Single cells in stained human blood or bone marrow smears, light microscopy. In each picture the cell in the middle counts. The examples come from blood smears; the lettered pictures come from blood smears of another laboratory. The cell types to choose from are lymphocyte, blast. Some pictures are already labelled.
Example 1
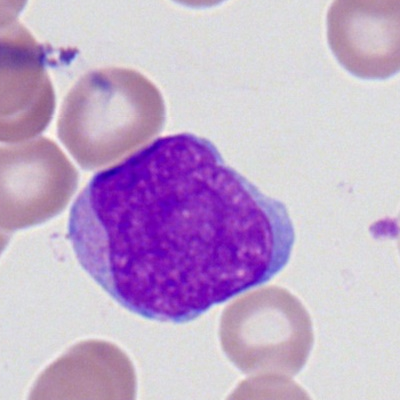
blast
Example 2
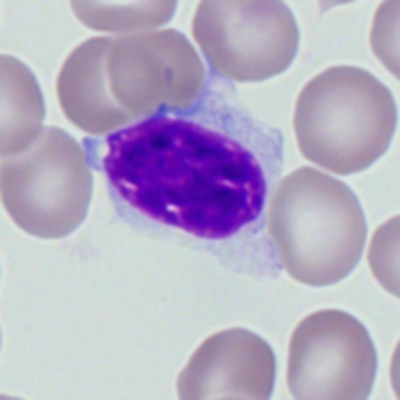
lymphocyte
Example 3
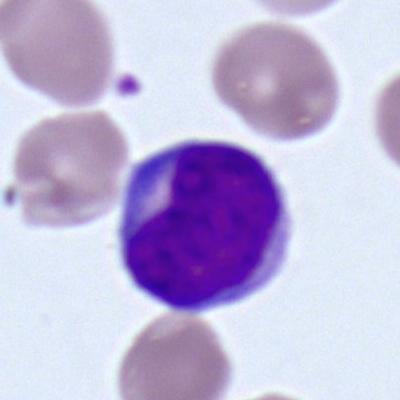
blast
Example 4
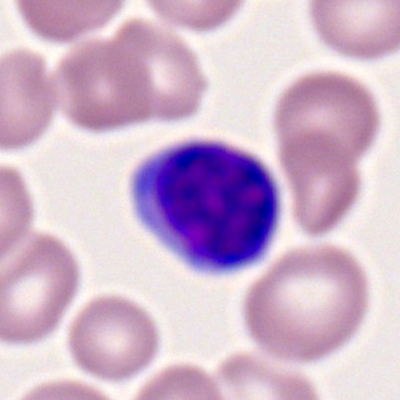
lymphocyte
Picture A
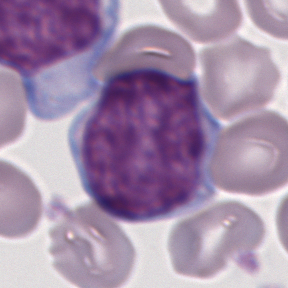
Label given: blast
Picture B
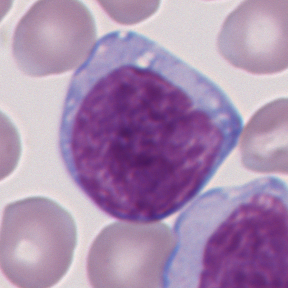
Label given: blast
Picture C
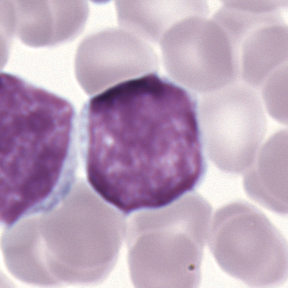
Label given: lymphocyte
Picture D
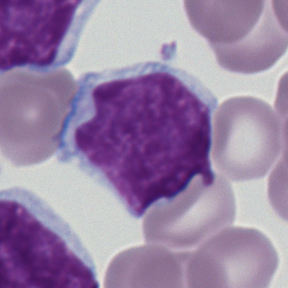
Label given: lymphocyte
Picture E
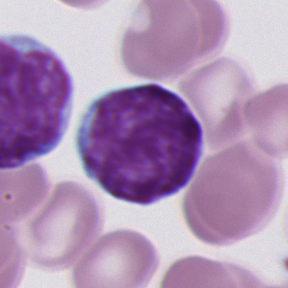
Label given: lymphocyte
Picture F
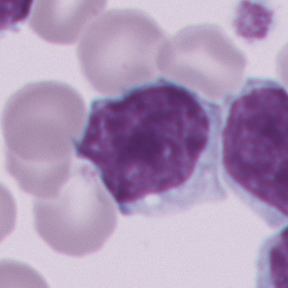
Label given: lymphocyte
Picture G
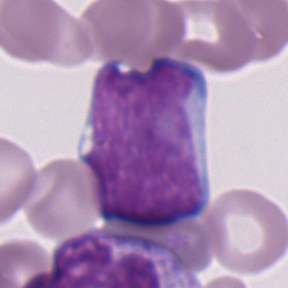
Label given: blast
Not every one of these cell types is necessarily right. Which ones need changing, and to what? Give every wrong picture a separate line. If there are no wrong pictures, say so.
None of the labels needs changing.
